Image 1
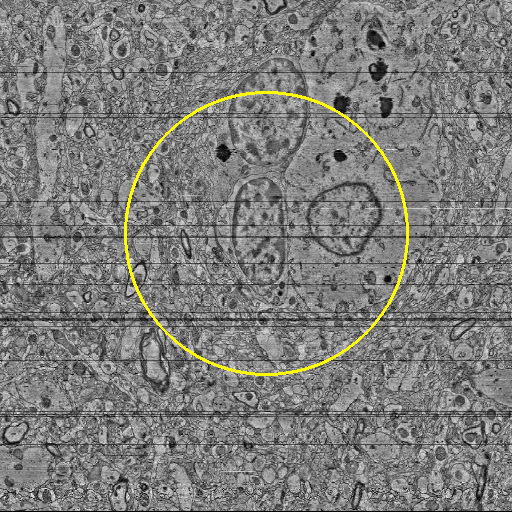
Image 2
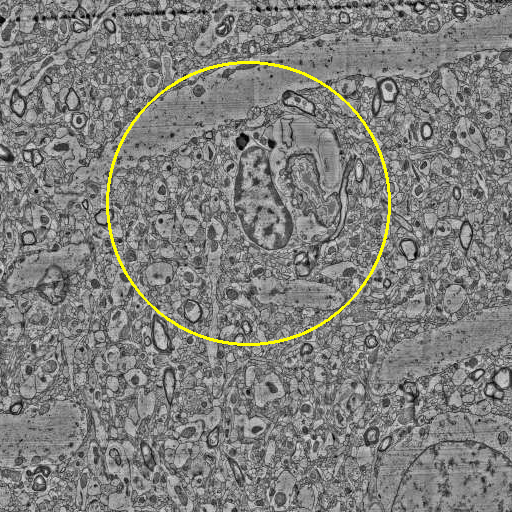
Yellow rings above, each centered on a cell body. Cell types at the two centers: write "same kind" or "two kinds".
same kind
